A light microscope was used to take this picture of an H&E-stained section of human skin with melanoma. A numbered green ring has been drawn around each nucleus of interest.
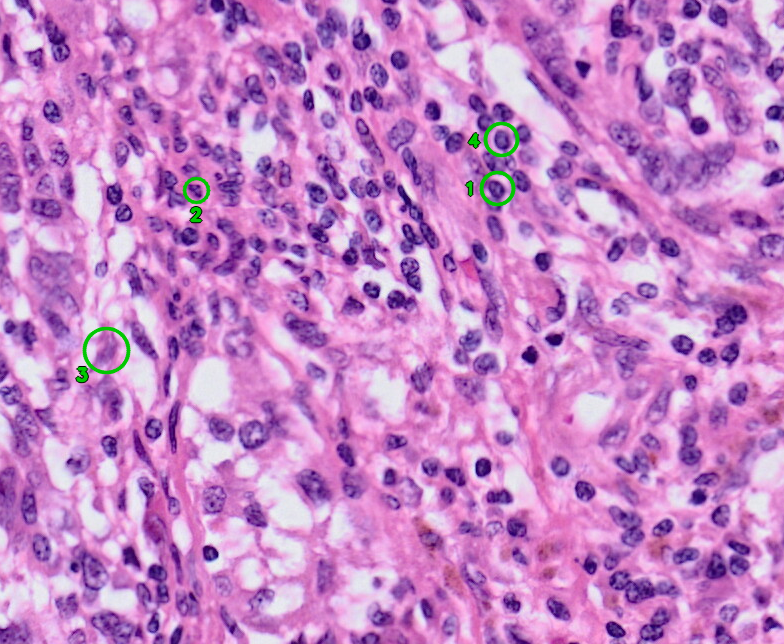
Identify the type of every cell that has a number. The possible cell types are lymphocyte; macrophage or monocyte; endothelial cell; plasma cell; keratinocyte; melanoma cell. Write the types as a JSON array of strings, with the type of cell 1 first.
["lymphocyte", "lymphocyte", "melanoma cell", "lymphocyte"]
